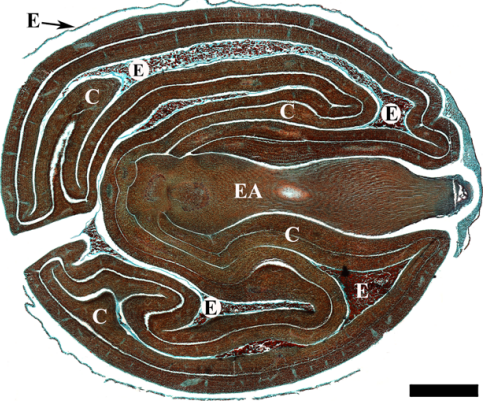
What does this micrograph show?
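This section through a seed shows an embryo whose central axis lies in the middle, surrounded by thin cotyledons that are folded back and forth in several layers. The embryo tissue stains a dense reddish brown and is made of small, tightly packed cells. Narrow white clefts separate the folds, and in the wider gaps lie patches of loose endosperm tissue whose cells hold red-stained contents within pale blue-green walls.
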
